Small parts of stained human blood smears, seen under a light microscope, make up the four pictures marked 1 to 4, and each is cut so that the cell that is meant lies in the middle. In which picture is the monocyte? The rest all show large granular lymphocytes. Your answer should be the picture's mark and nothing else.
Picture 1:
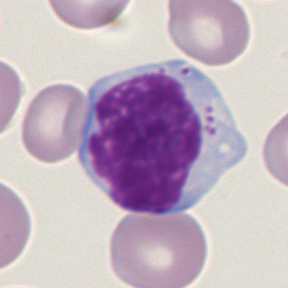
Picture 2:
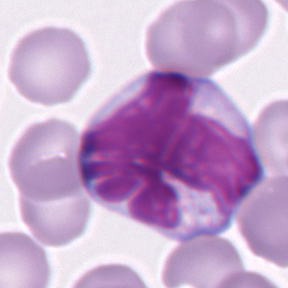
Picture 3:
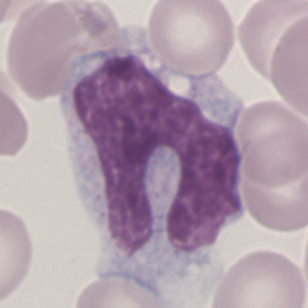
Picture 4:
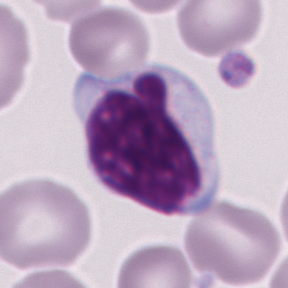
3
